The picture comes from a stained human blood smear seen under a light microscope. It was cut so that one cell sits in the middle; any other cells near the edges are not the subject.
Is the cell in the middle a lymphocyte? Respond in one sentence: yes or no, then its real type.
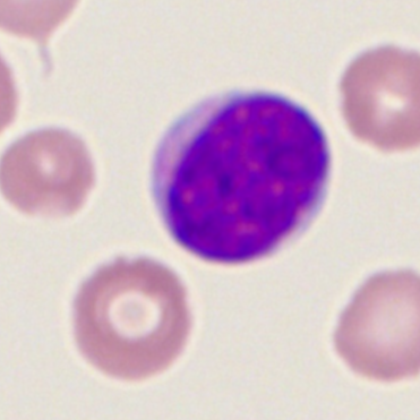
Yes, the cell occupying the center is a lymphocyte.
